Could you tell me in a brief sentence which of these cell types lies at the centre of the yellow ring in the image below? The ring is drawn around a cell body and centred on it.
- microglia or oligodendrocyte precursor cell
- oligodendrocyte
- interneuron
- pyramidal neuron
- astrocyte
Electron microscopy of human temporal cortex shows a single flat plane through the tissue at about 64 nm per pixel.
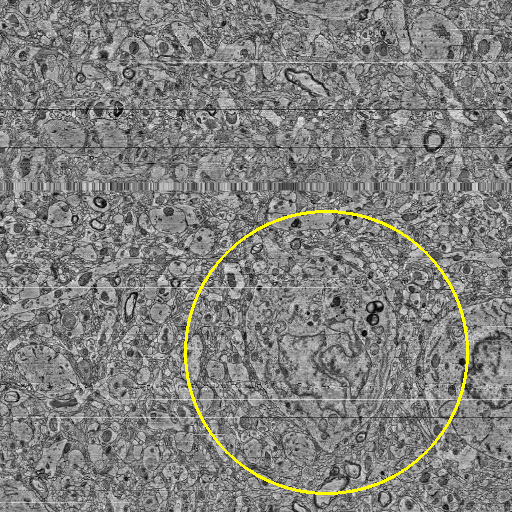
The cell centred in the ring is an interneuron.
